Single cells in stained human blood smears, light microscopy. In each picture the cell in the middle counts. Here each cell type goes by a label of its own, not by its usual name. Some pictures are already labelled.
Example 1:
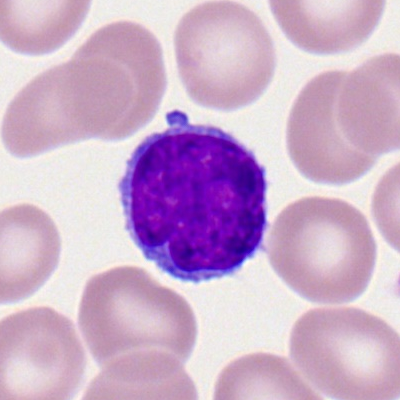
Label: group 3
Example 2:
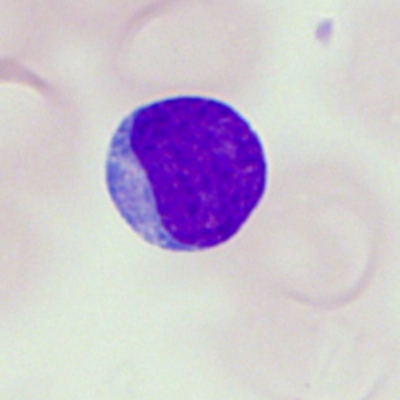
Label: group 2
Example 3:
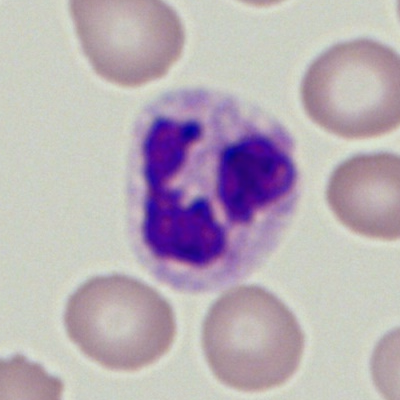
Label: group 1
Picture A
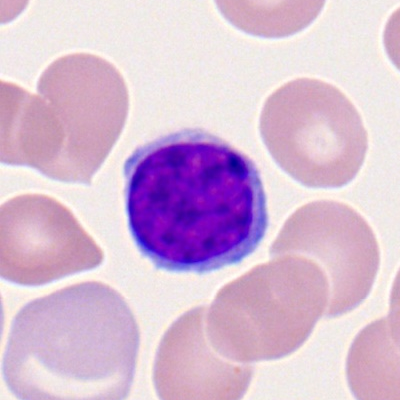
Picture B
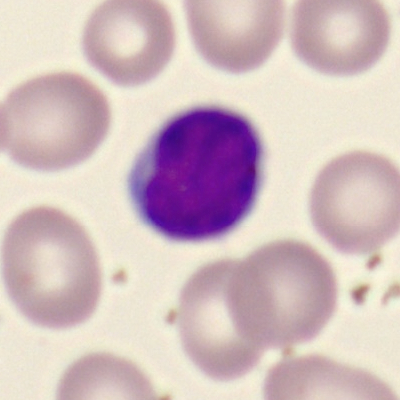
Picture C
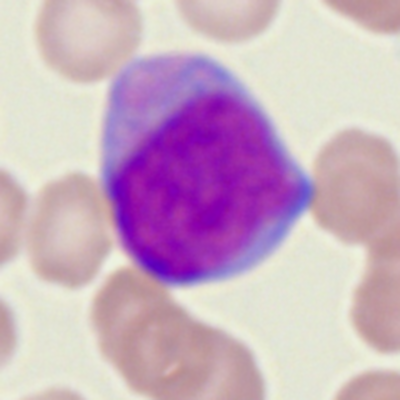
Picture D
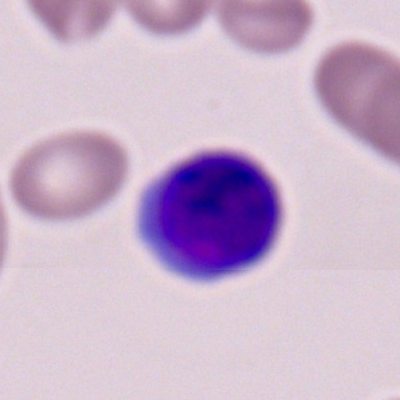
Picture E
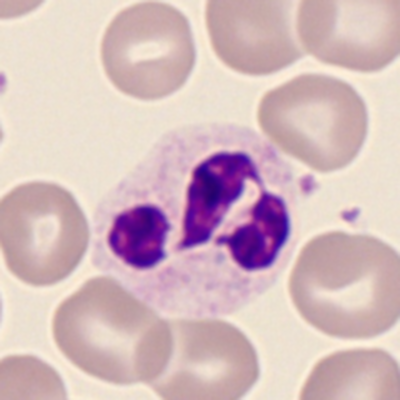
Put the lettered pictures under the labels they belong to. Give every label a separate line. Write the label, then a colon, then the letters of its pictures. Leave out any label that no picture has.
group 3: A, B, D
group 2: C
group 1: E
